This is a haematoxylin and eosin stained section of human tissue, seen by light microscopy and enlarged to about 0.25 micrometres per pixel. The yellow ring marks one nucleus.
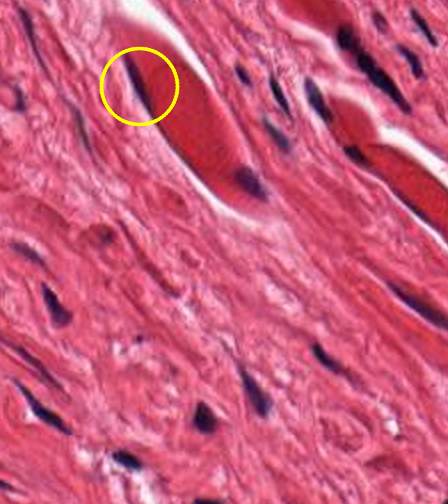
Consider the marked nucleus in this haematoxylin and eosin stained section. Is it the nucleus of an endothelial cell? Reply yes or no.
yes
